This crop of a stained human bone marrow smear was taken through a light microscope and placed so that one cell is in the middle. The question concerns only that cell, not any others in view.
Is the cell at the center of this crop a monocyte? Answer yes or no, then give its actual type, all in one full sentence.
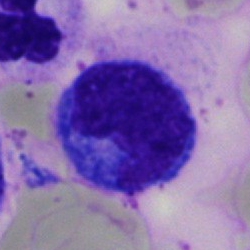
Yes, the cell positioned at the centre of the crop is a monocyte.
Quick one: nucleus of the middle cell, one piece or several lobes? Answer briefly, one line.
See how the nucleus sits as one compact round, oval or kidney-shaped mass.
